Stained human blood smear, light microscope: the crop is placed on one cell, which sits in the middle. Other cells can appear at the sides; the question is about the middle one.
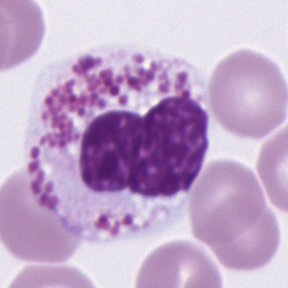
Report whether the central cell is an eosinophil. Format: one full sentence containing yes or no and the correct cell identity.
Yes, the cell here in the middle is an eosinophil.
